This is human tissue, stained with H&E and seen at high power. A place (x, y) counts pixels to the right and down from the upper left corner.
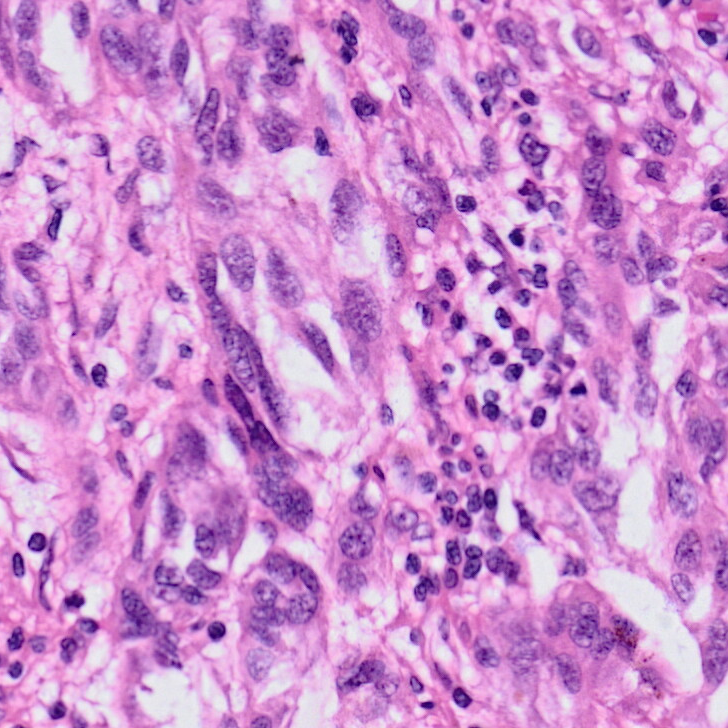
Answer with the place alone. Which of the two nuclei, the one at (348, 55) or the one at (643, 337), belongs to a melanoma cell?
(643, 337)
